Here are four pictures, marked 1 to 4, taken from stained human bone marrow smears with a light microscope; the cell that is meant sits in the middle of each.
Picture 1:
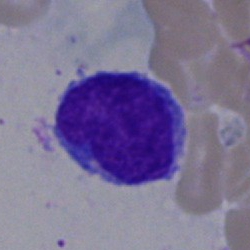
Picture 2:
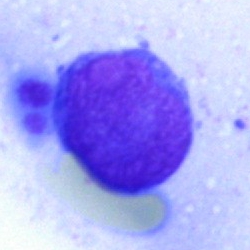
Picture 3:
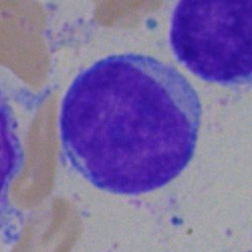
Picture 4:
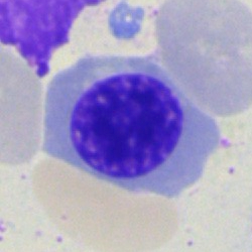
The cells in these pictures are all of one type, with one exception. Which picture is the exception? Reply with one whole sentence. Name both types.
Unlike the rest, which show blasts, picture 4 shows an erythroblast.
